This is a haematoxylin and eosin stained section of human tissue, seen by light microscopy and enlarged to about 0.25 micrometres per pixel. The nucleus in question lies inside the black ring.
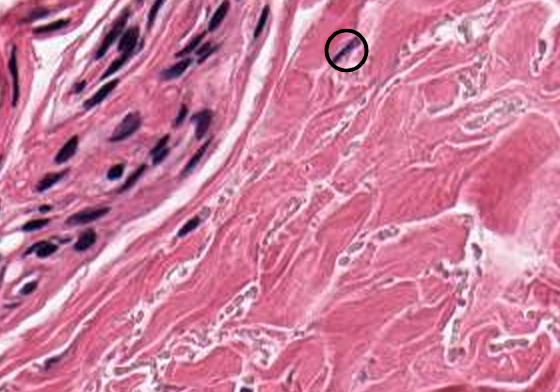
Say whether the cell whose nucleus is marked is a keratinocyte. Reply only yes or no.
no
